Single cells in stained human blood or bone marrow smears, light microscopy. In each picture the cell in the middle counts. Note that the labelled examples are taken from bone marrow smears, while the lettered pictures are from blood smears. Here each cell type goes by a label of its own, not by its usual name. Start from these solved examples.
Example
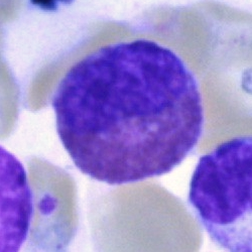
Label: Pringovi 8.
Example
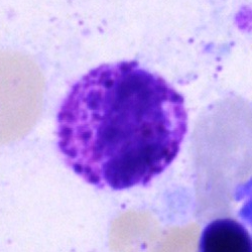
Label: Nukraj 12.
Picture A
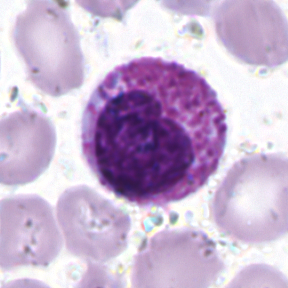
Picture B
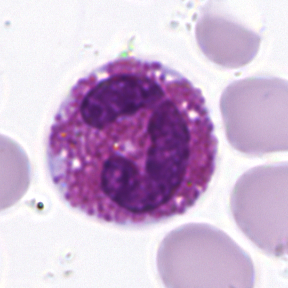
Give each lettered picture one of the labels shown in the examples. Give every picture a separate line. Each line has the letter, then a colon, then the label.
A: Pringovi 8.
B: Pringovi 8.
